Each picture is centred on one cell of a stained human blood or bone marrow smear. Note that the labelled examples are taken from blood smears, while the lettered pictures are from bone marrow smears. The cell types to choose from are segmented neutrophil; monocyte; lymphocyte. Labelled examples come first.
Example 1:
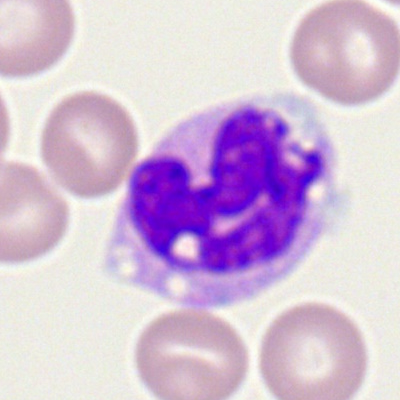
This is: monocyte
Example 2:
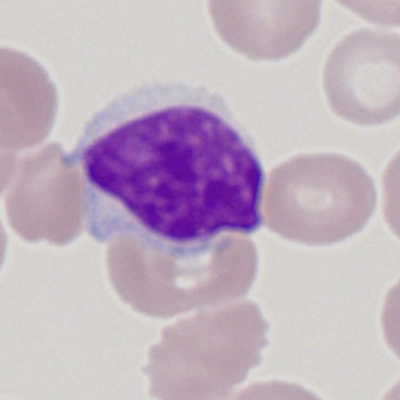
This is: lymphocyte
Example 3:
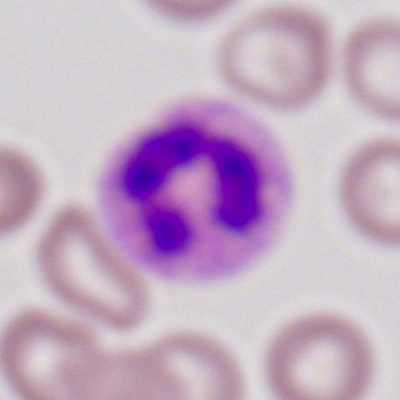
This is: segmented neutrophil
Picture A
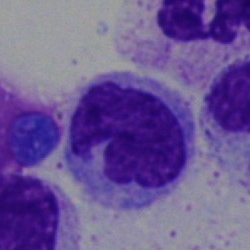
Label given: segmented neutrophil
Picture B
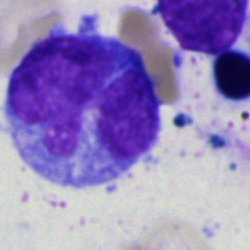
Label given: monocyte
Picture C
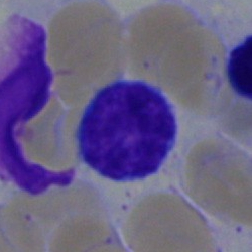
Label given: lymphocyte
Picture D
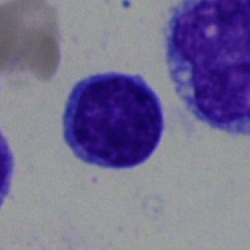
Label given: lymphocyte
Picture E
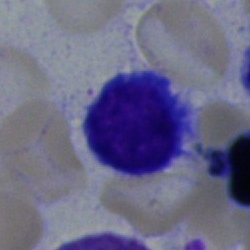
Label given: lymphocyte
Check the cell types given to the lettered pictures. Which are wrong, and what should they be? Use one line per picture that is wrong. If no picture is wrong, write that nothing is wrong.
A should be monocyte, not segmented neutrophil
